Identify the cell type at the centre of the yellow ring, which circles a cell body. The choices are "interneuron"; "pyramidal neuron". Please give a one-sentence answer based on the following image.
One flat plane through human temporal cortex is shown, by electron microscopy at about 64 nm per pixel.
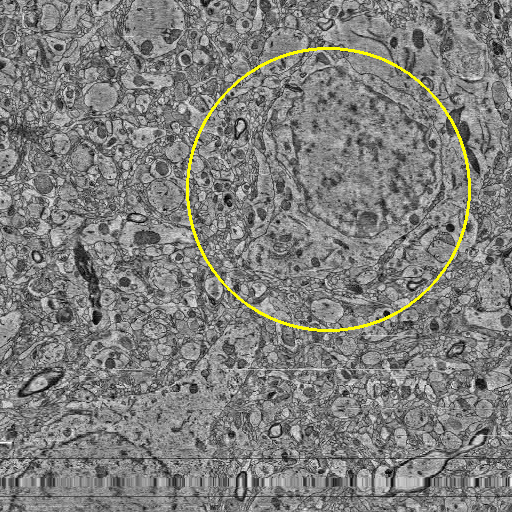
The cell marked by the ring is an interneuron.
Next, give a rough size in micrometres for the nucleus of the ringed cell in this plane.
About 12 by 9 micrometres in this plane.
